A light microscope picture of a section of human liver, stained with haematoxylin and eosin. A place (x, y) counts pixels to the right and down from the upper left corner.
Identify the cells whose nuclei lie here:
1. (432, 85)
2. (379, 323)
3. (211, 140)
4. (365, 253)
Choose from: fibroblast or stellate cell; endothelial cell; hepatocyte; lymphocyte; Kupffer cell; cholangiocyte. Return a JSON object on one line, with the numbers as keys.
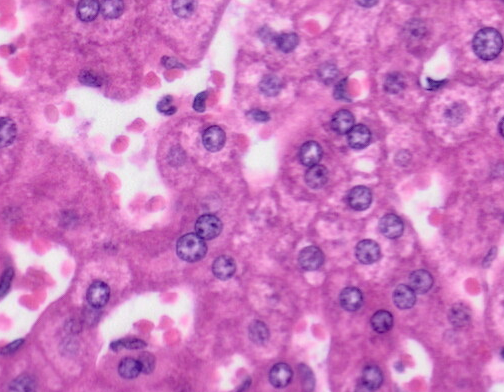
{"1": "endothelial cell", "2": "hepatocyte", "3": "hepatocyte", "4": "hepatocyte"}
